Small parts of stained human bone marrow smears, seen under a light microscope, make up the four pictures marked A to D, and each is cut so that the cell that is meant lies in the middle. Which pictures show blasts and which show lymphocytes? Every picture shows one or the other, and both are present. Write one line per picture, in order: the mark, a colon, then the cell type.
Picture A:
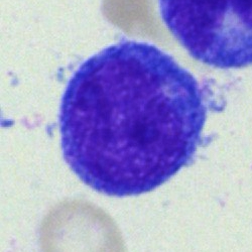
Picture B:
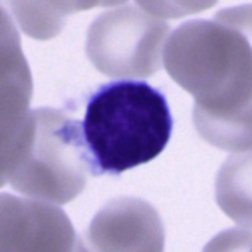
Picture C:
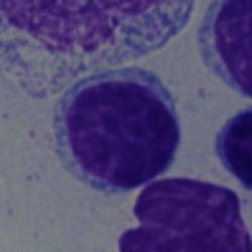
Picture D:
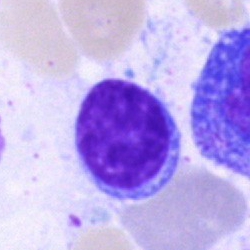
A: blast
B: lymphocyte
C: lymphocyte
D: lymphocyte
